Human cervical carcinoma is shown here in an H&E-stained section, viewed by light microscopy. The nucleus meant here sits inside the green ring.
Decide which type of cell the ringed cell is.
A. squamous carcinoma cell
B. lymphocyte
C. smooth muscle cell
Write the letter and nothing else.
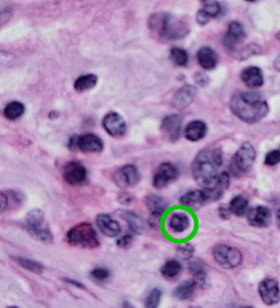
B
